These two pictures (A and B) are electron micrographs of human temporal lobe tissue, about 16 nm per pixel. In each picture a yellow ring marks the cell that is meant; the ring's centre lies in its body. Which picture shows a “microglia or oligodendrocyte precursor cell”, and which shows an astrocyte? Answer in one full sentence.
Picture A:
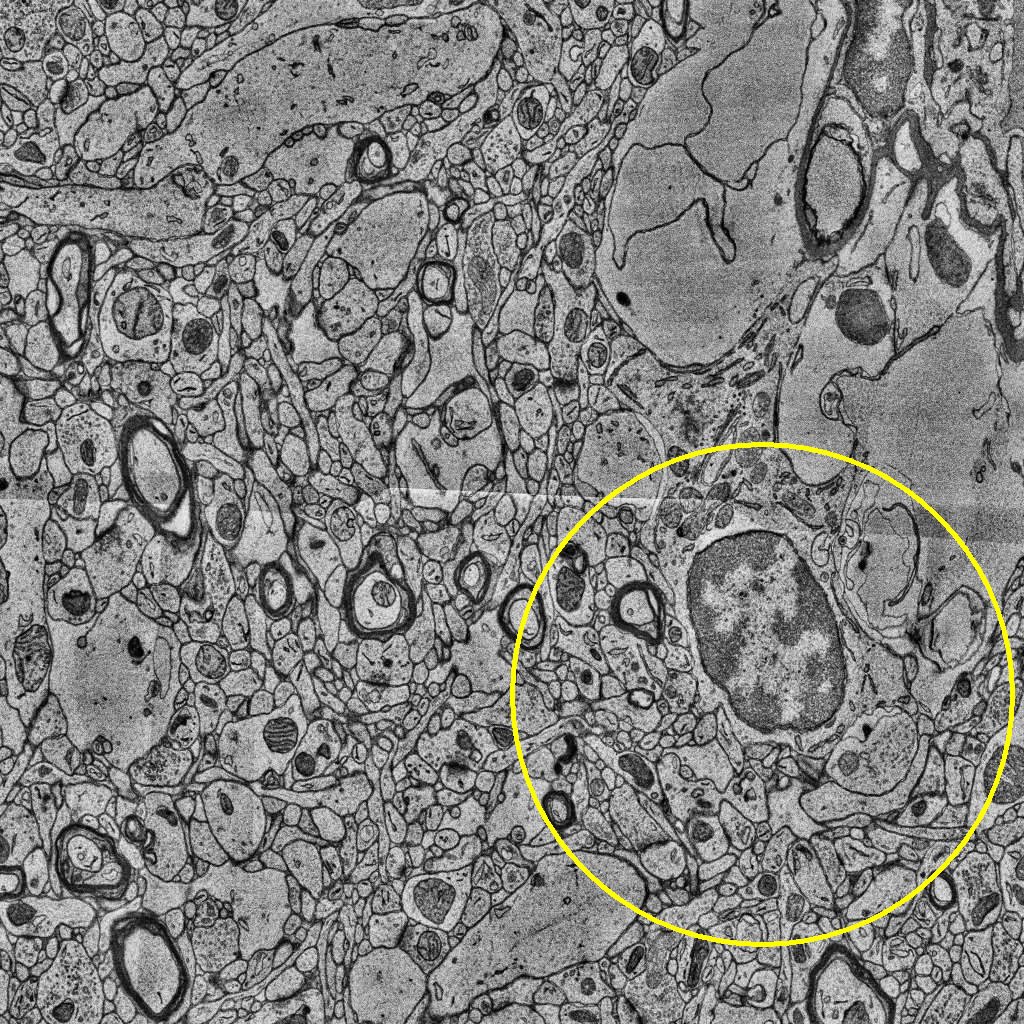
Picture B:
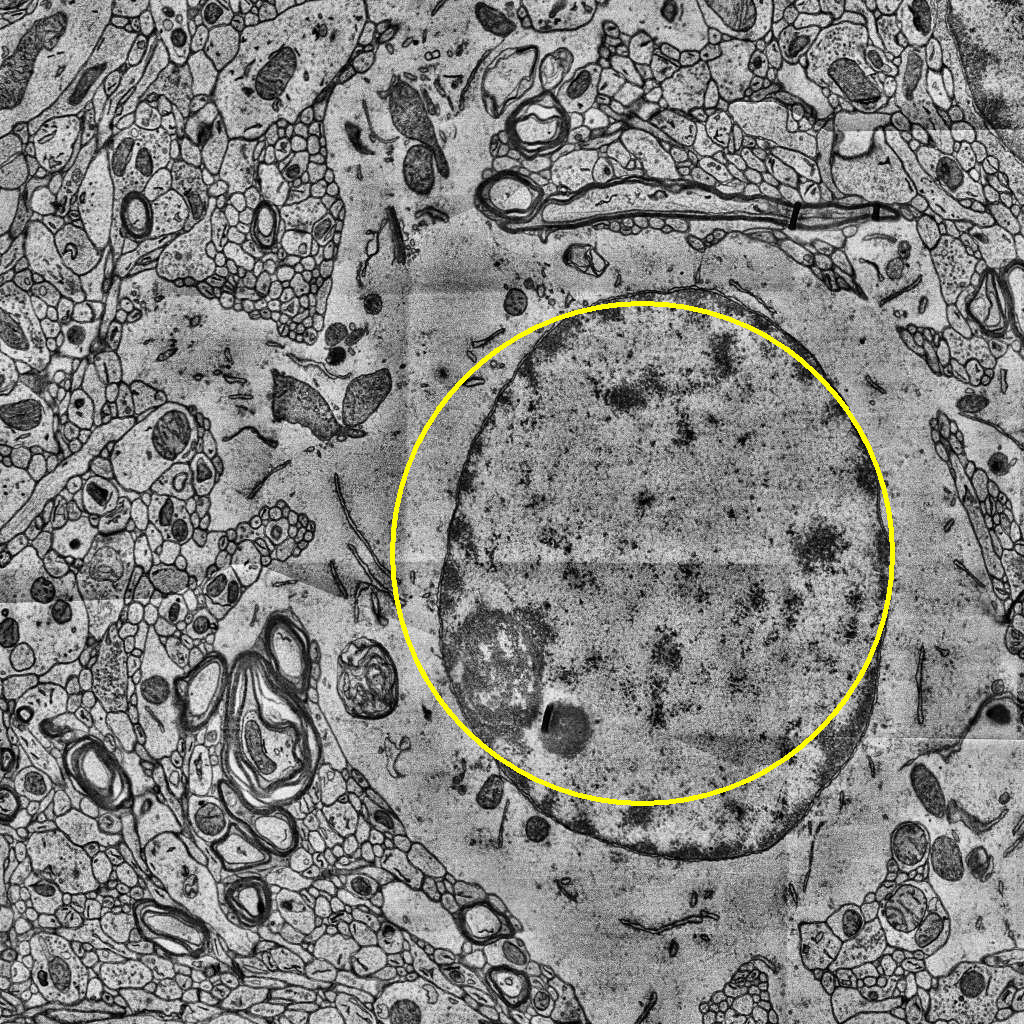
It is picture A that shows a “microglia or oligodendrocyte precursor cell”, and picture B that shows an astrocyte.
